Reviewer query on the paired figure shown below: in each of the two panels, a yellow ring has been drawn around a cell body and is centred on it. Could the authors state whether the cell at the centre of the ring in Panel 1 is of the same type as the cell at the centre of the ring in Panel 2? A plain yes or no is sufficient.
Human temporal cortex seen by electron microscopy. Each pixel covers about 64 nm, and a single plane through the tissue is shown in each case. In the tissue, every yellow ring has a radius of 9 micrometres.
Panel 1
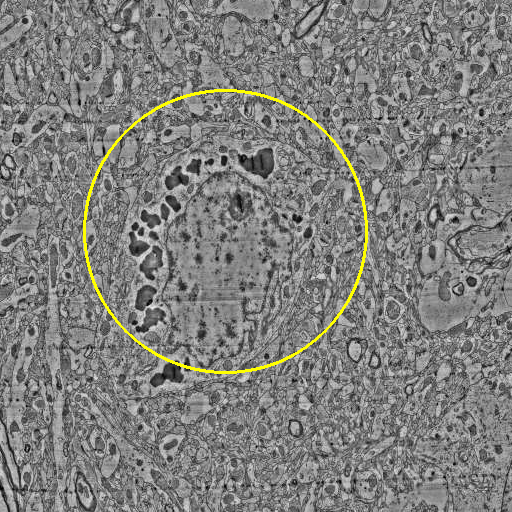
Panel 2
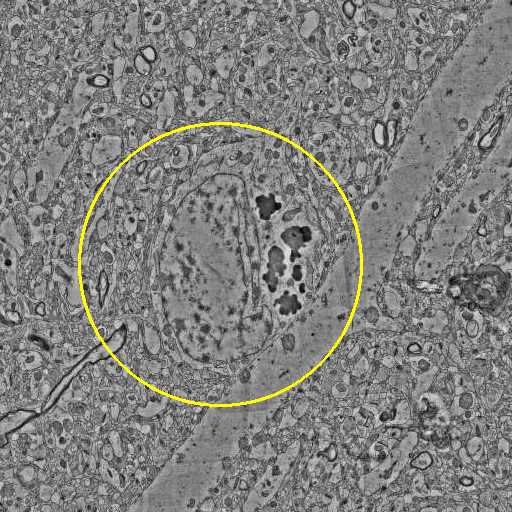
yes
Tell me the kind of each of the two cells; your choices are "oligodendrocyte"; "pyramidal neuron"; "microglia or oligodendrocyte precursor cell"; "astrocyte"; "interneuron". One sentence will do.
Each of the two cells is an interneuron.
